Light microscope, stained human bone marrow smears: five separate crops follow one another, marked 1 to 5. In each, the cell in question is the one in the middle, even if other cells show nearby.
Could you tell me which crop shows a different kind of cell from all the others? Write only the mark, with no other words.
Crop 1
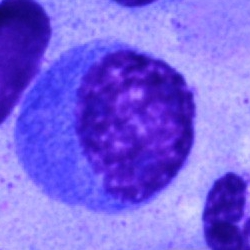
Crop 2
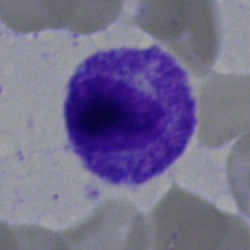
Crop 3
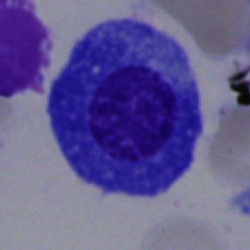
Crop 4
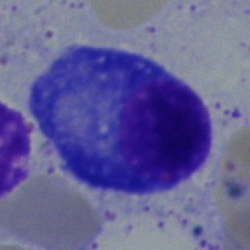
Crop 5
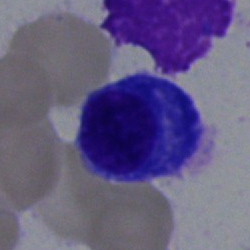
2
